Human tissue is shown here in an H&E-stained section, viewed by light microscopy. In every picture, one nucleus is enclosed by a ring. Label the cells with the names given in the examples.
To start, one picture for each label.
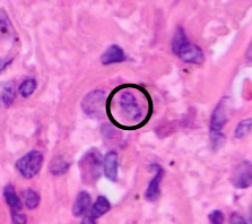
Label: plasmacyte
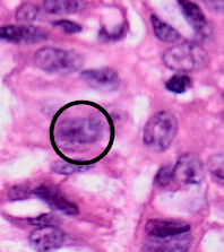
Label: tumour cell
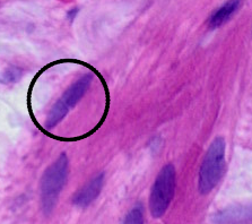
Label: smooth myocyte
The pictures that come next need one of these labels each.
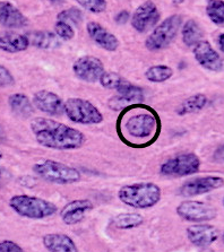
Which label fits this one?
tumour cell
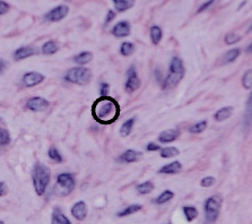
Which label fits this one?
smooth myocyte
